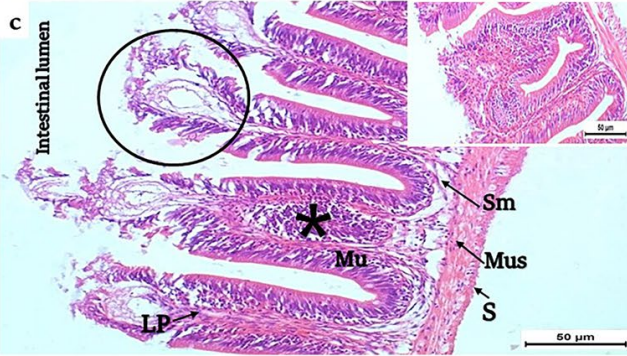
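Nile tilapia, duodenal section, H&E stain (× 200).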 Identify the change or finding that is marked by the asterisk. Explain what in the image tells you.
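The core of the villus at the asterisk is crowded with small dark round nuclei. This cellular core is wider than the thin cores of neighbouring villi.
Mononuclear inflammation.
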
